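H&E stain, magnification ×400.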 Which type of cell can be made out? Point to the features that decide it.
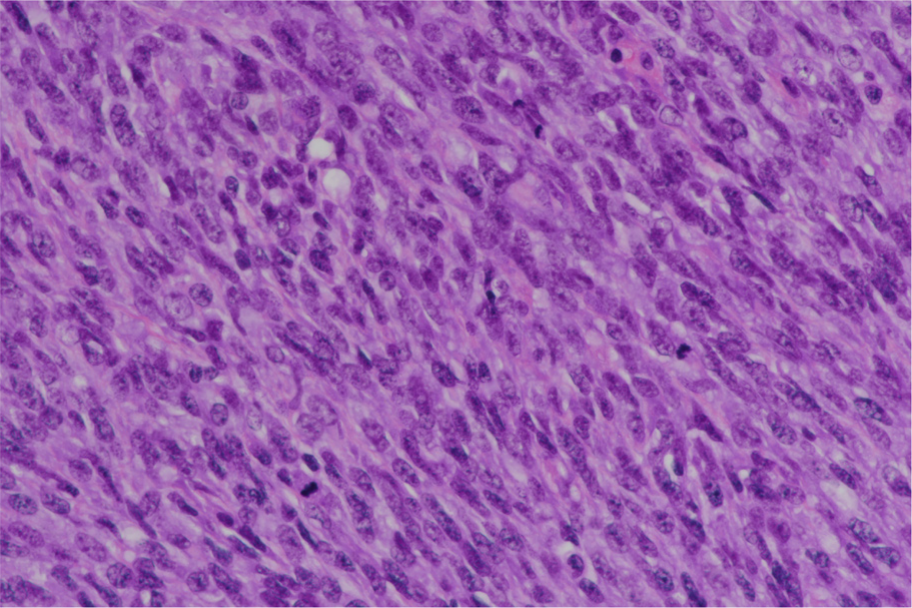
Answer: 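Densely packed spindle-shaped cells in parallel streams. Elongated, dark nuclei of varying size and shape. Scant cytoplasm between nuclei. On this evidence: sarcoma tumor cells.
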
